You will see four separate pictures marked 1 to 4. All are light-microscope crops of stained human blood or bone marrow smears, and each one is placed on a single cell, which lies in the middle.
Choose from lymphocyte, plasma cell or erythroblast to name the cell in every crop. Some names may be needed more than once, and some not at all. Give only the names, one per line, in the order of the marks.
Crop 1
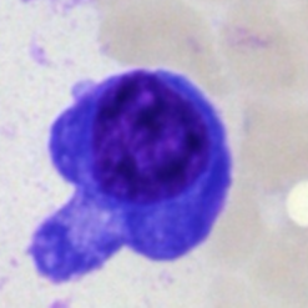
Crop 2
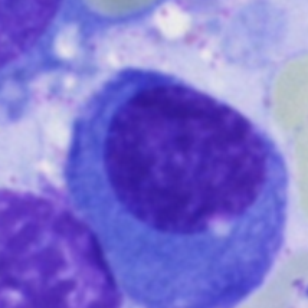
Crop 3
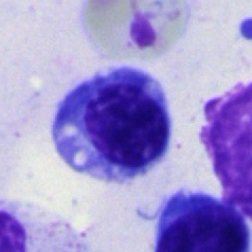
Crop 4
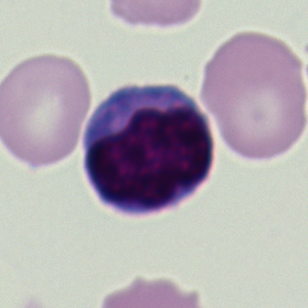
plasma cell
plasma cell
erythroblast
lymphocyte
